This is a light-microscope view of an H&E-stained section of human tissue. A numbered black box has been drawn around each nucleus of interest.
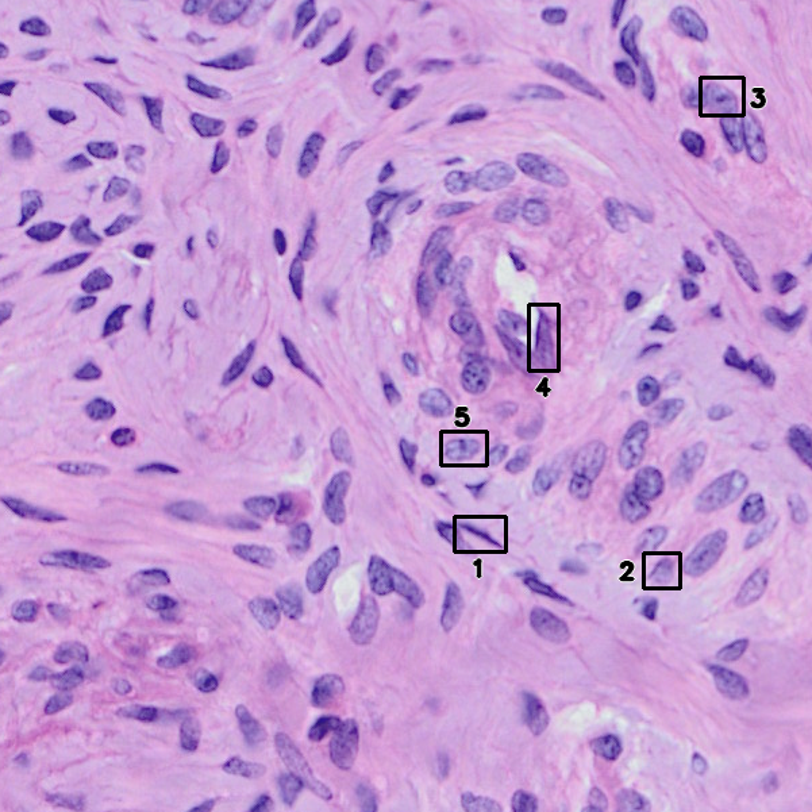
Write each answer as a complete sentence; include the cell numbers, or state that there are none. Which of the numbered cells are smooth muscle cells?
Marked by the numbers 2 and 5 are cells that are smooth muscle cells.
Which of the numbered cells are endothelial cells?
Identified as endothelial cells are the cells numbered 3 and 4.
